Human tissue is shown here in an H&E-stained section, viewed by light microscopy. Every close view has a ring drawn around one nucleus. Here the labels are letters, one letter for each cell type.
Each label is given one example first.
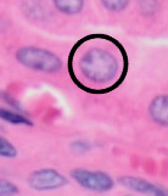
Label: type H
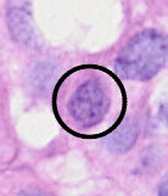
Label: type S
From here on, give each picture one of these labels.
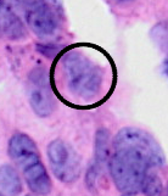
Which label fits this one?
type S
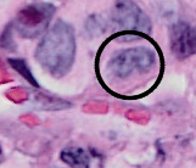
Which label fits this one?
type S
